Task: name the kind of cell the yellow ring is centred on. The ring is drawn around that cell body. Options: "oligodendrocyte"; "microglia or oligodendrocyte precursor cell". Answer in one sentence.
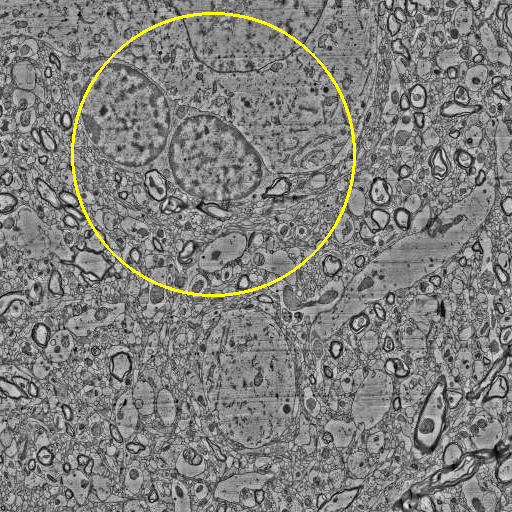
This cell body belongs to a microglial cell or oligodendrocyte precursor cell.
